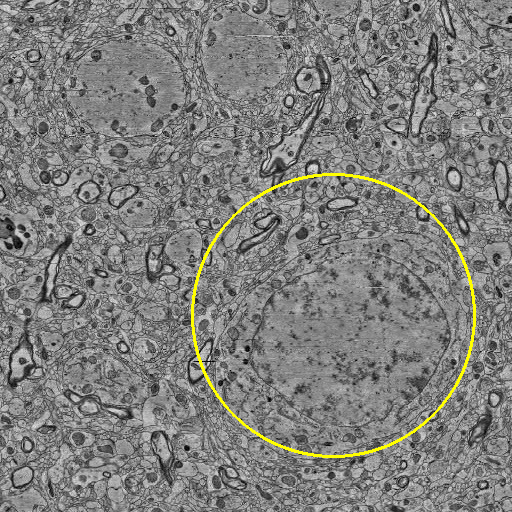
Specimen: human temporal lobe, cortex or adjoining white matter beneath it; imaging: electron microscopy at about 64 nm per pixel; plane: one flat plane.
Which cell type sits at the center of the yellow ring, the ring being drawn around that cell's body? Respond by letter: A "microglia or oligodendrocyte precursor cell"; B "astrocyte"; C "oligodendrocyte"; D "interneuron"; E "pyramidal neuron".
E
